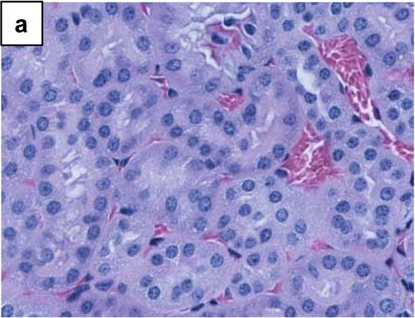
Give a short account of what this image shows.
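Kidney cortex with renal tubules cut in cross-section, lined by cuboidal tubular epithelial cells. Each cell has a round, centrally placed purple nucleus with visible nucleoli and a homogeneous pale pink-grey cytoplasm. The cells sit in rings around narrow lumens, some of which show a faint fuzzy brush-border-like edge. Between the tubules run thin capillaries packed with bright red erythrocytes, with a few flattened dark endothelial or interstitial nuclei. The cytoplasm is smooth and almost free of clear spaces, and the tubular architecture is orderly, giving the appearance of normal tubular epithelium.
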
